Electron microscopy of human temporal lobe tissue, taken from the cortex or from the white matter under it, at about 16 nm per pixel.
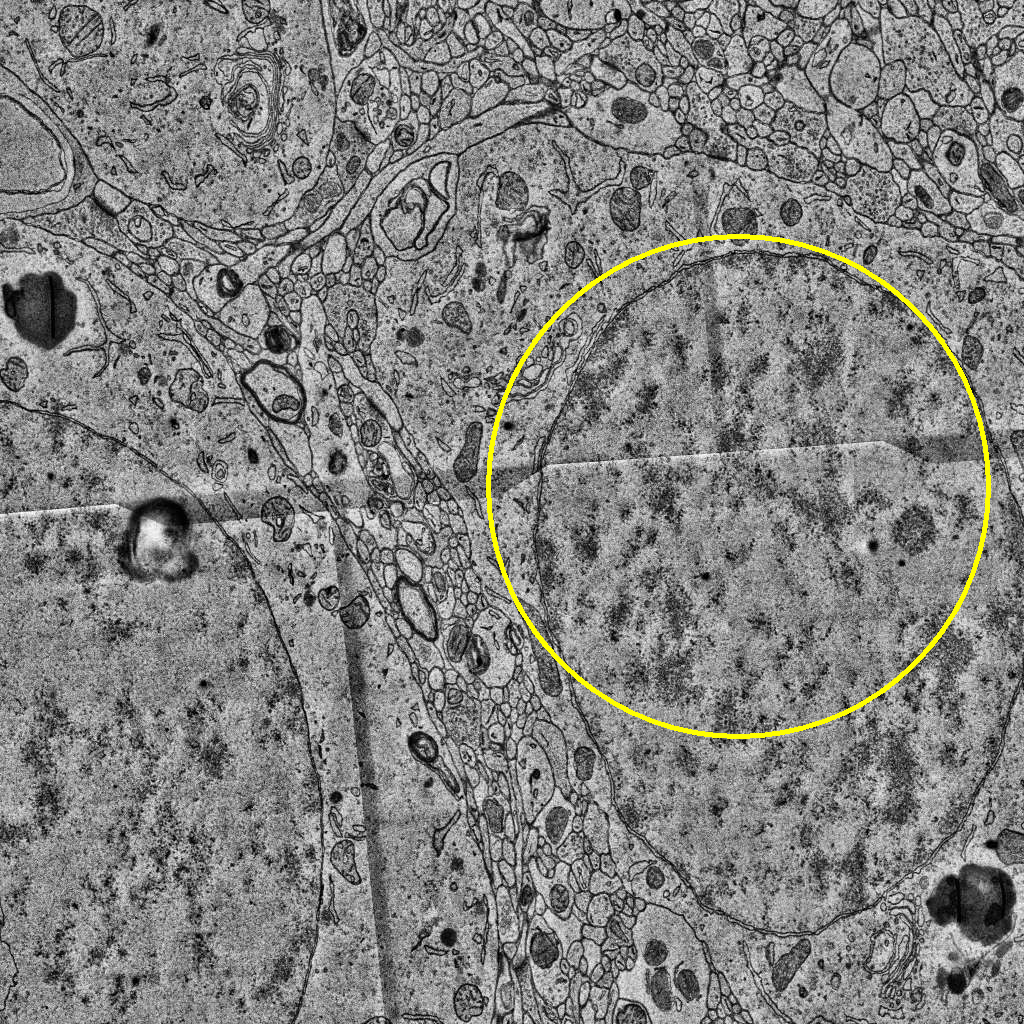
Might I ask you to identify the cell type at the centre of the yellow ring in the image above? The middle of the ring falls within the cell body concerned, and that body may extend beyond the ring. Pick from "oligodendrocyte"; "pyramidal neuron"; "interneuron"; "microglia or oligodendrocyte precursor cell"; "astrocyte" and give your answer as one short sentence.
The centre of the ring falls on an interneuron.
